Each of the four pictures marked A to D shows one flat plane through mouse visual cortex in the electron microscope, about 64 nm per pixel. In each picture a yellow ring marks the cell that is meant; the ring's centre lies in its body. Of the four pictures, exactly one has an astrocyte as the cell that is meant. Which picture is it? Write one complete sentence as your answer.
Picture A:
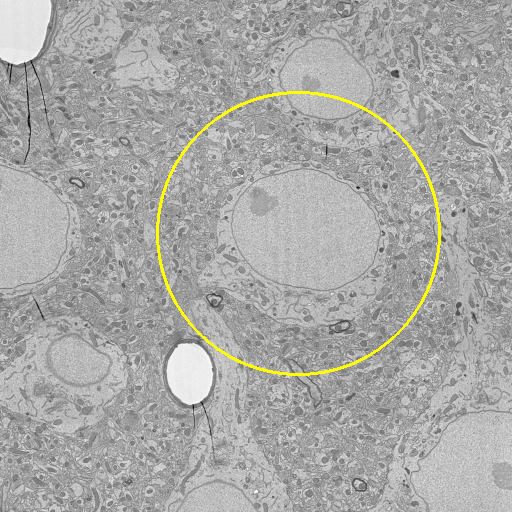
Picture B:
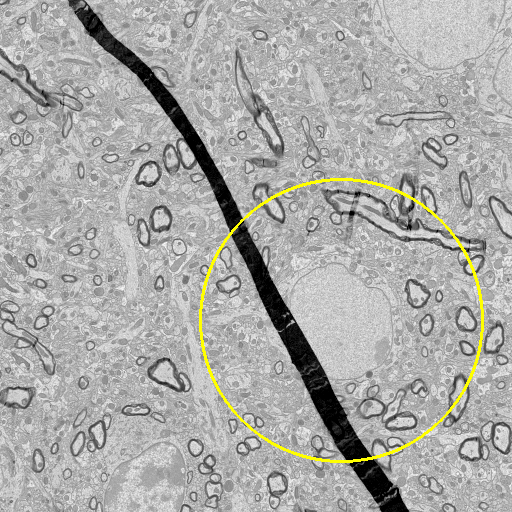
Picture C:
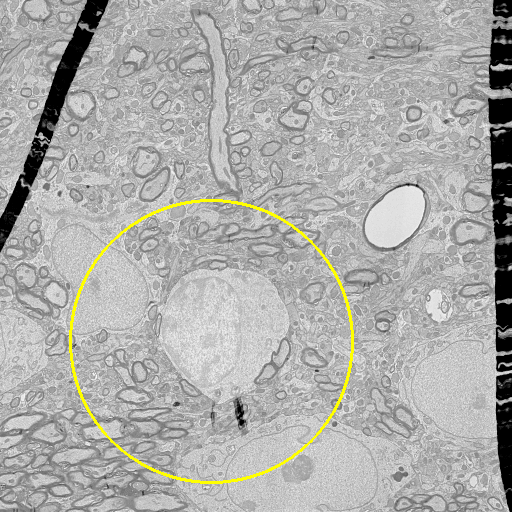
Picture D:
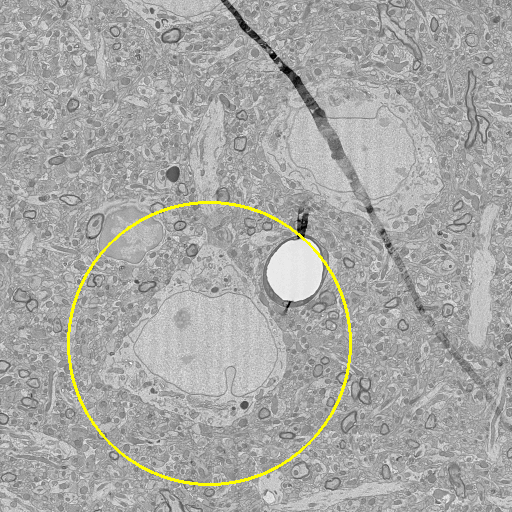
Picture C shows the astrocyte.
